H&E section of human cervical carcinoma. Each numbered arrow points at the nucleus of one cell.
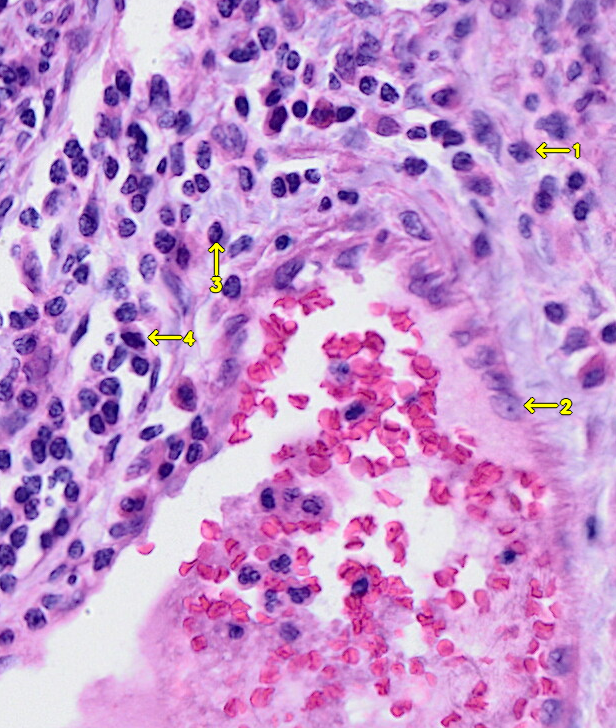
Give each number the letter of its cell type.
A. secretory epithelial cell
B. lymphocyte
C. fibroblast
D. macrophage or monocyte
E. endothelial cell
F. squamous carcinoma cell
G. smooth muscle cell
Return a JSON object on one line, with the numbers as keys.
{"1": "B", "2": "E", "3": "B", "4": "B"}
